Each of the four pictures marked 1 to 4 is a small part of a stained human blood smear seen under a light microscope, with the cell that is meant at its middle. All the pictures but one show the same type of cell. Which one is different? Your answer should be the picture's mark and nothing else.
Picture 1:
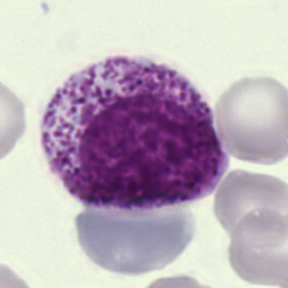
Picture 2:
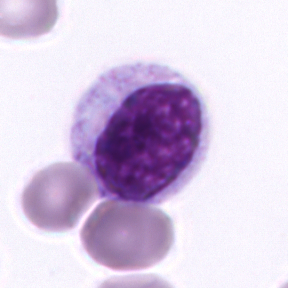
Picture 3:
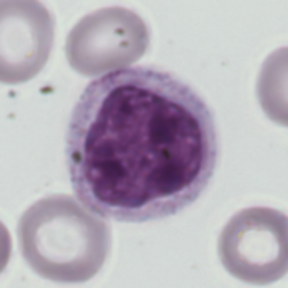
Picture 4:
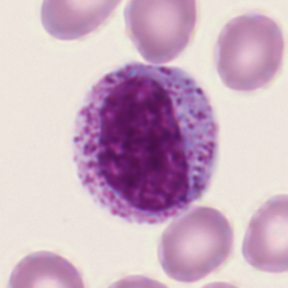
1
